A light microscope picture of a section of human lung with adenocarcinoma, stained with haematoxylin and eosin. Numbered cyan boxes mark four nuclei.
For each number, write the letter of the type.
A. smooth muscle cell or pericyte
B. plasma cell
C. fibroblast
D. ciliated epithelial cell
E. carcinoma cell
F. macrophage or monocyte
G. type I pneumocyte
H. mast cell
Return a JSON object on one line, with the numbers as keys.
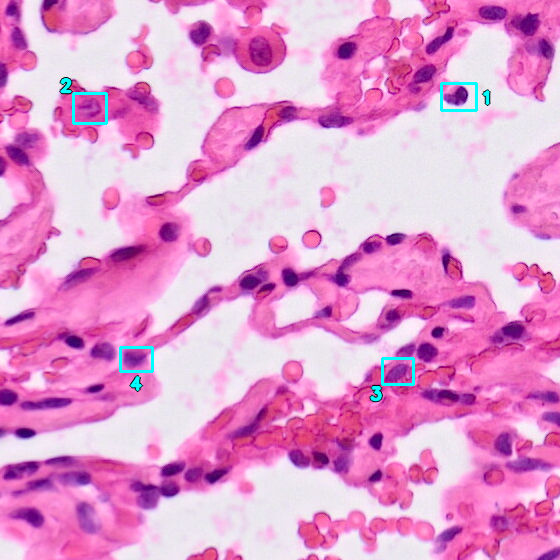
{"1": "G", "2": "F", "3": "G", "4": "G"}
